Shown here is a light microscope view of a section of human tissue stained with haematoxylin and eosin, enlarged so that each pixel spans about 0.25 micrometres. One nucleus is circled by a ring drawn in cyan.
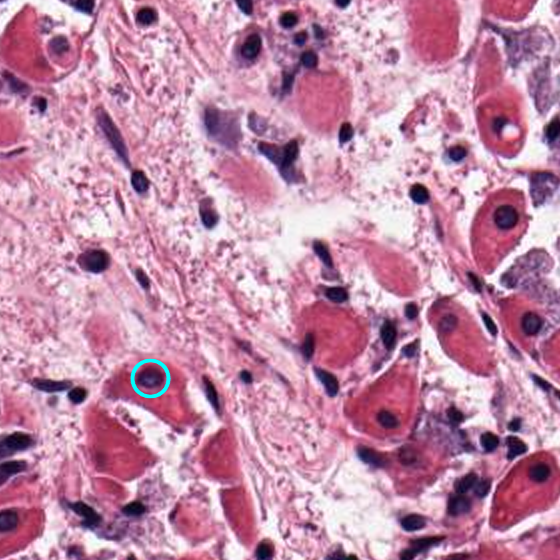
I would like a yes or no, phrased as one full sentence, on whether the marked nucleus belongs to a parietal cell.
Yes, a parietal cell is what the marked nucleus belongs to.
